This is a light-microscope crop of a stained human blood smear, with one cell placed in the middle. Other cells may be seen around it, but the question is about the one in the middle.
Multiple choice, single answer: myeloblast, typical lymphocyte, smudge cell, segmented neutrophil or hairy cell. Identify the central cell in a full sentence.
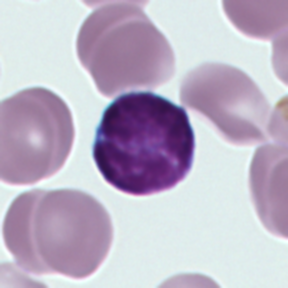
Positioned in the middle of the crop is a typical lymphocyte.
